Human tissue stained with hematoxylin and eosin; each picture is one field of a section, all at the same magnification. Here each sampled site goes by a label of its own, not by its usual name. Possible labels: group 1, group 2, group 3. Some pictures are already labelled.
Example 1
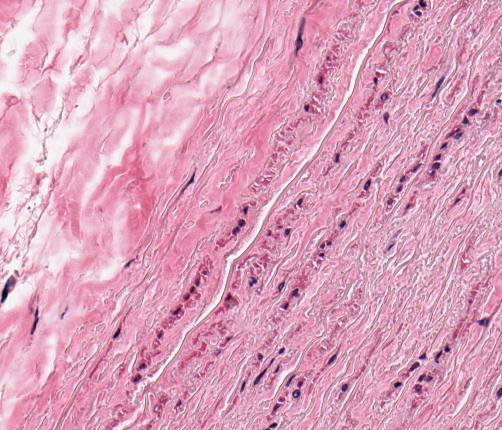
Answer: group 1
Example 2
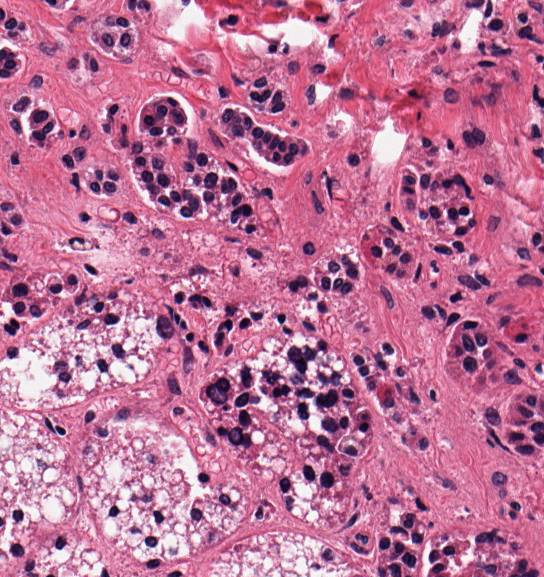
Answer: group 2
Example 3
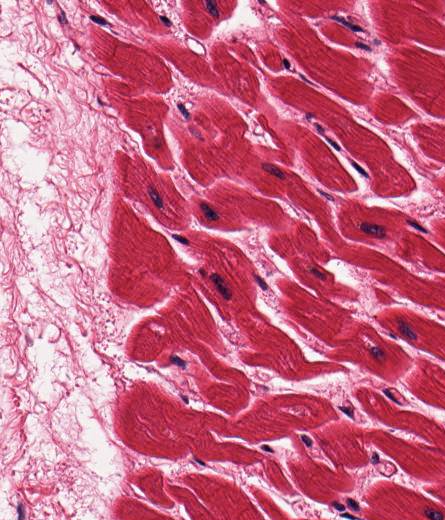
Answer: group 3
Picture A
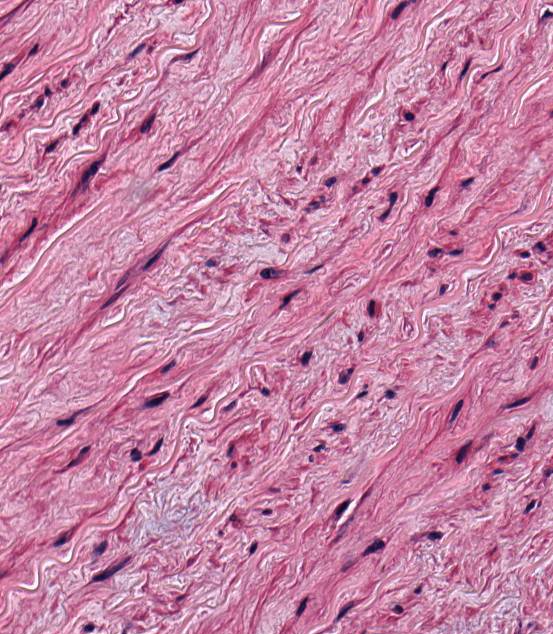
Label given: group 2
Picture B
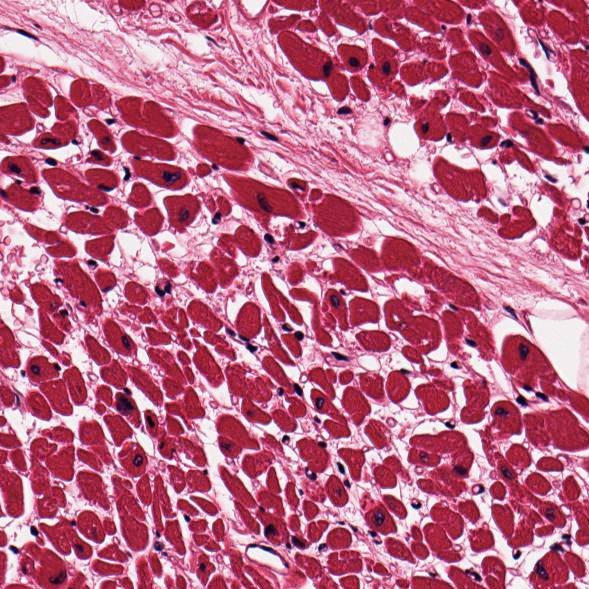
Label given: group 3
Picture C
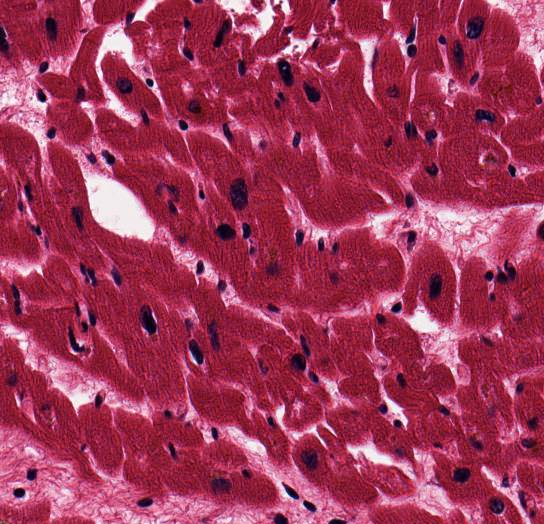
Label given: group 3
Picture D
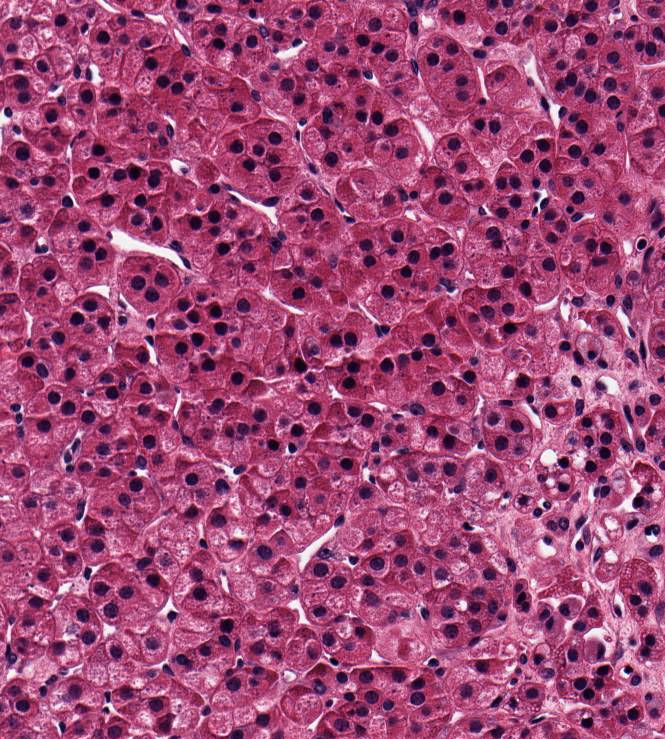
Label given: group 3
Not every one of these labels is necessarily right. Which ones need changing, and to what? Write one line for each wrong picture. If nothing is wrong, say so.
Wrong: A (group 2); correct: group 1
Wrong: D (group 3); correct: group 2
